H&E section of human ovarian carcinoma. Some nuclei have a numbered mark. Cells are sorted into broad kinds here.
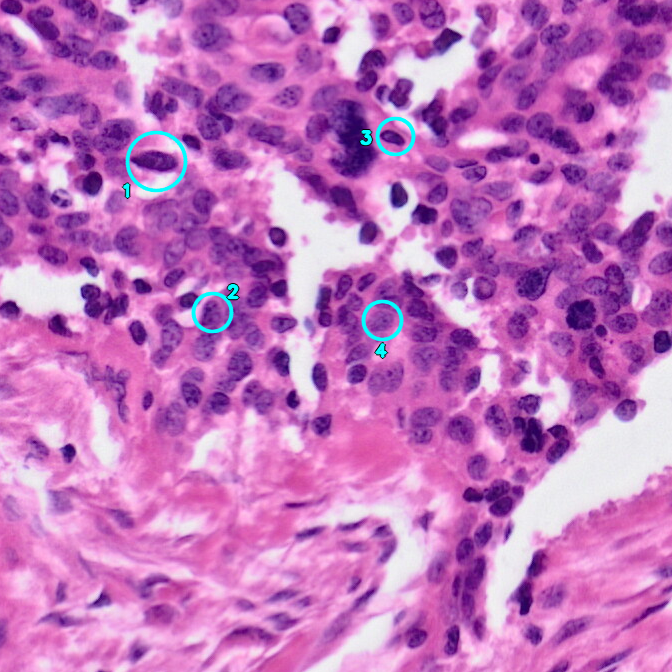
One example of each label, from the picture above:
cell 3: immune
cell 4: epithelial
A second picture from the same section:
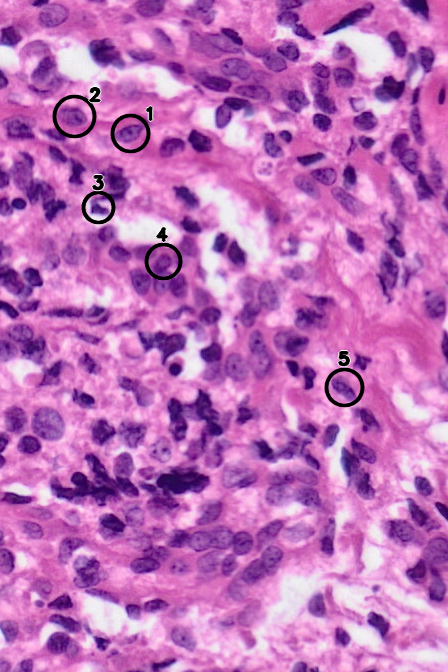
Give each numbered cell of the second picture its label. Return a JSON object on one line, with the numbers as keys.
{"1": "immune", "2": "immune", "3": "epithelial", "4": "epithelial", "5": "immune"}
